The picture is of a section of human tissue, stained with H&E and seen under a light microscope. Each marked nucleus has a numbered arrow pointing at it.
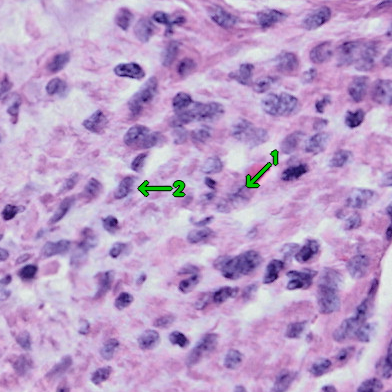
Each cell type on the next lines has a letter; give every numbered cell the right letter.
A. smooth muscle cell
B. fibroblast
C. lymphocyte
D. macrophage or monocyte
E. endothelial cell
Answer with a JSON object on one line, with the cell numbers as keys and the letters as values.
{"1": "E", "2": "B"}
